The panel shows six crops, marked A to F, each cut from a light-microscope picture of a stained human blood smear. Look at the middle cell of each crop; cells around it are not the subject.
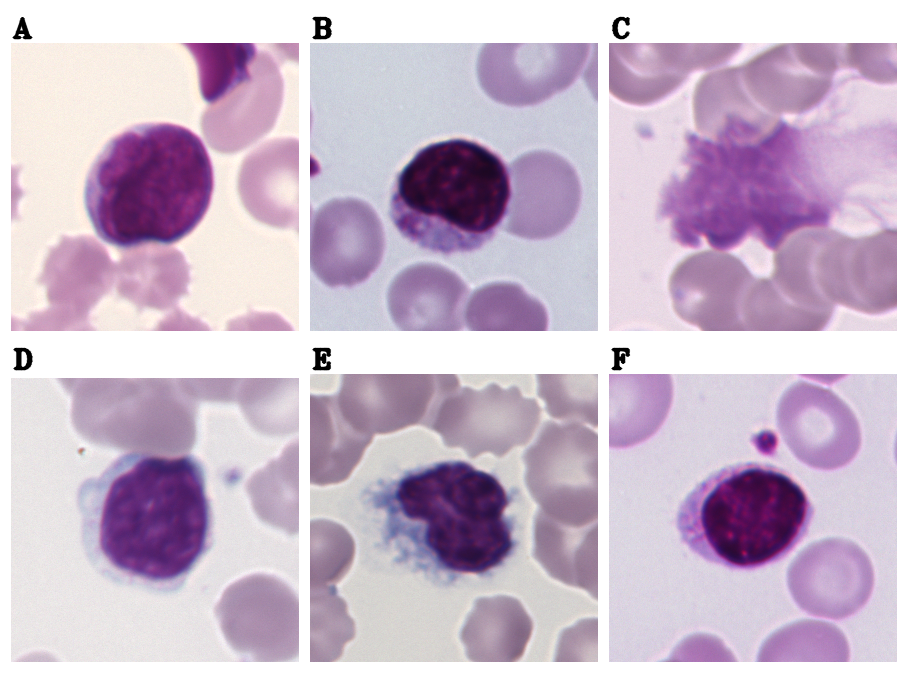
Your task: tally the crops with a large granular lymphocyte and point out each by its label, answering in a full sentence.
The large granular lymphocytes in this set are confined to three crops, B, D and F.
